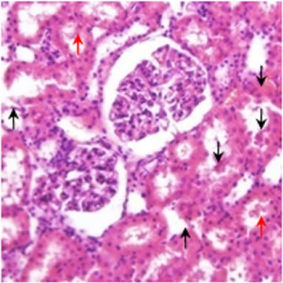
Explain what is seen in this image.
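Renal cortex stained with hematoxylin and eosin, with glomeruli surrounded by tubules showing dilation and degeneration. Two glomeruli lie near the centre, their capillary tufts dense with blue nuclei and separated from the surrounding capsule by a clear space. The tubular profiles are crowded and uneven compared with the regular pattern of healthy cortex.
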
